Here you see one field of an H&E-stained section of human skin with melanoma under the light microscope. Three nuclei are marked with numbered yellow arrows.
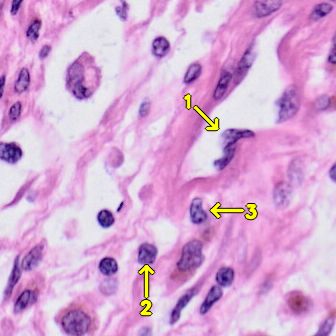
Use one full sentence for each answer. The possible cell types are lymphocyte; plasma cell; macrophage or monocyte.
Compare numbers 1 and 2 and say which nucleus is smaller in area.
Nucleus 2 covers less area, with nucleus 1 about 2 times as large.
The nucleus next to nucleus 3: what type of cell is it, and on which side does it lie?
Just below nucleus 3 lies the nearest nucleus, which belongs to a macrophage or monocyte.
